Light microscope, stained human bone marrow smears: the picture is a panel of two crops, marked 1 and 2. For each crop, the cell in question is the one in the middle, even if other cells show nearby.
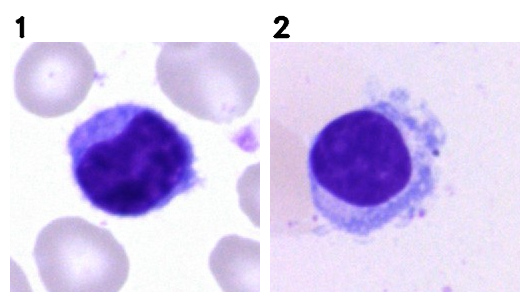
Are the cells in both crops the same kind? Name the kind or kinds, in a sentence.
Yes, it is lymphocytes that occupy the middle of both crops.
